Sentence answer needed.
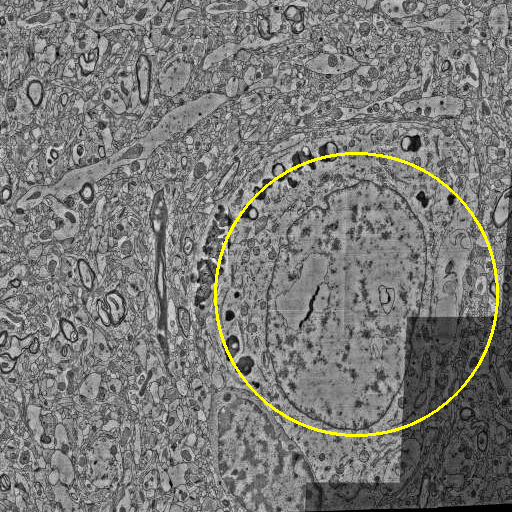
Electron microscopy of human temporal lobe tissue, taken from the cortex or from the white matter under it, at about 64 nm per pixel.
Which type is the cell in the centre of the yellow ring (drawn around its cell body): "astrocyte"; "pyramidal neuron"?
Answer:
In the centre of the yellow ring is a pyramidal neuron.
